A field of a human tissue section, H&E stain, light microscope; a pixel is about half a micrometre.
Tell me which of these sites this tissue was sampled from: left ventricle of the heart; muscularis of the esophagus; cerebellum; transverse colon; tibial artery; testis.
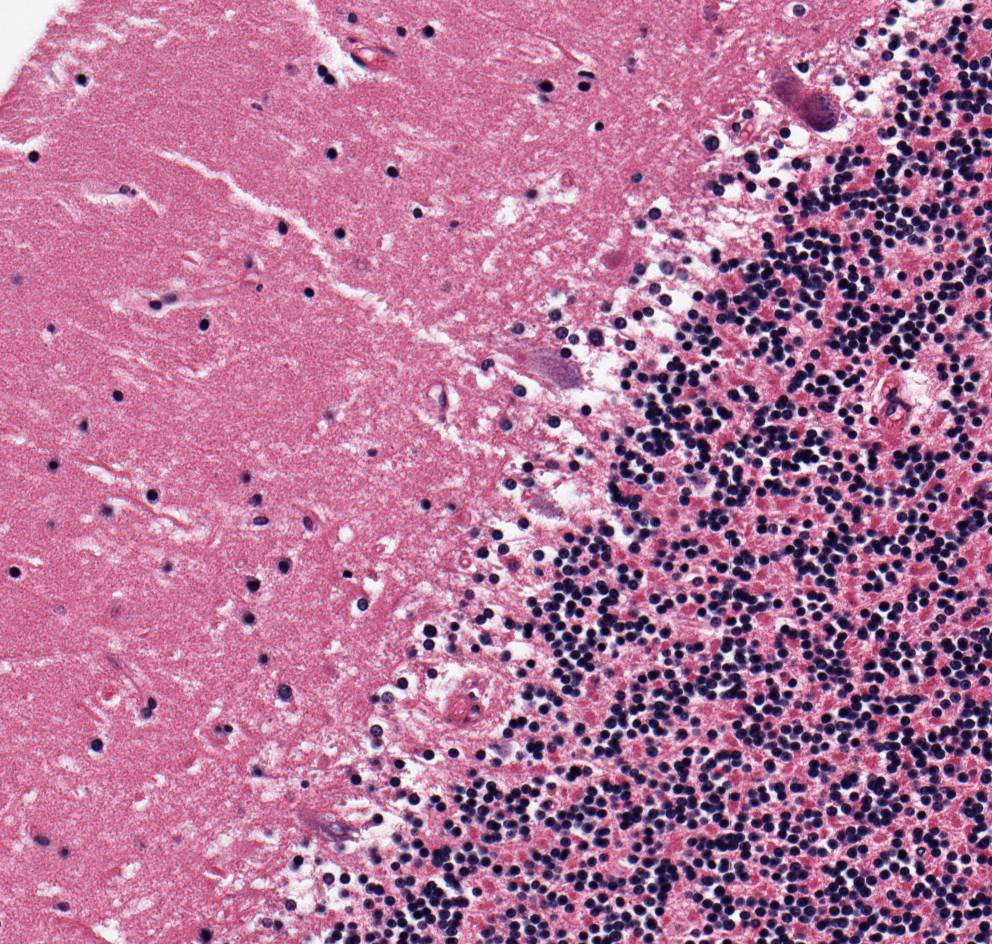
cerebellum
